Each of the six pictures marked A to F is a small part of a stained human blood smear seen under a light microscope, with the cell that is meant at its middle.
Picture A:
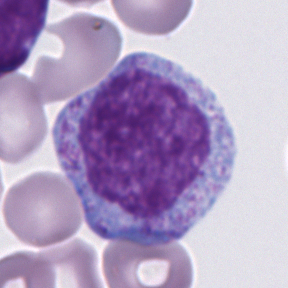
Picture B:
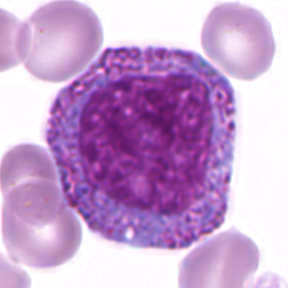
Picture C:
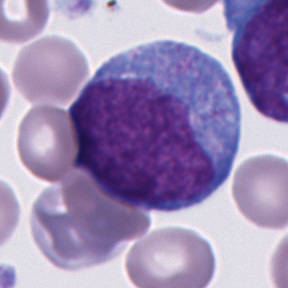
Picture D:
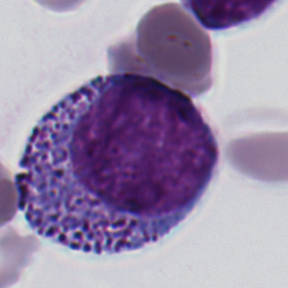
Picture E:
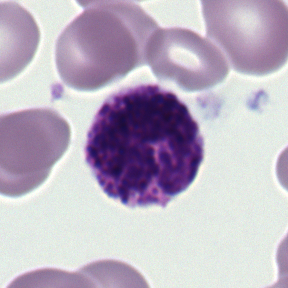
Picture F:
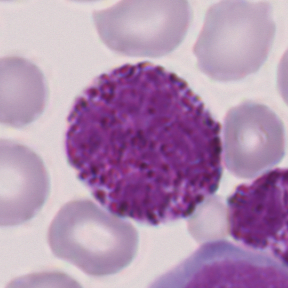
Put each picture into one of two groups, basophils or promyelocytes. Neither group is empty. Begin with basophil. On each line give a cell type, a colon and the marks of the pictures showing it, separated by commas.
basophil: E, F
promyelocyte: A, B, C, D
